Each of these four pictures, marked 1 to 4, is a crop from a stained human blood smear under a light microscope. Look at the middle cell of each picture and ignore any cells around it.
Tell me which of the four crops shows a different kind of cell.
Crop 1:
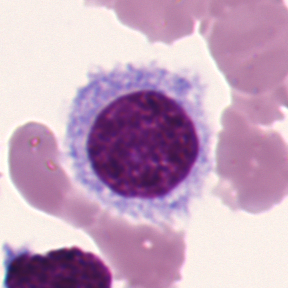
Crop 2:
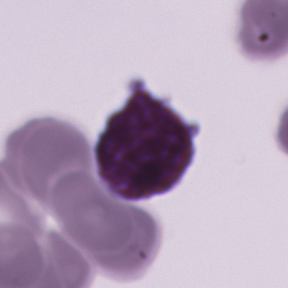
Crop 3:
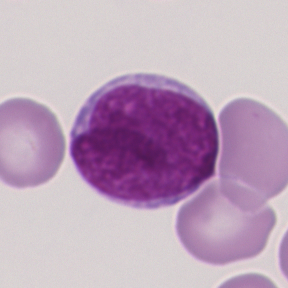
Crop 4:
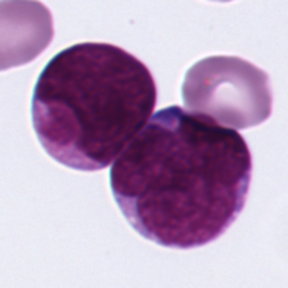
1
